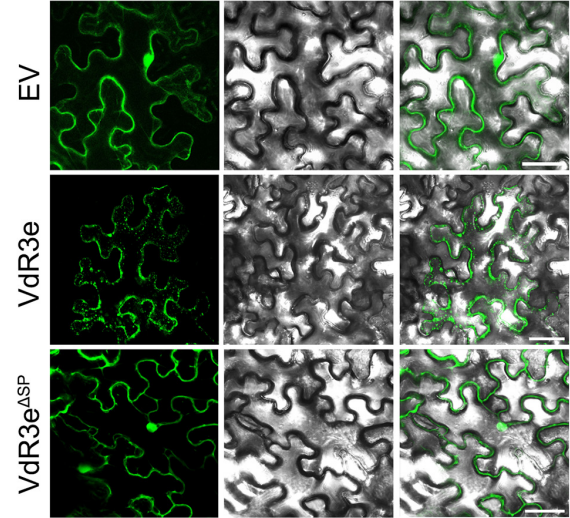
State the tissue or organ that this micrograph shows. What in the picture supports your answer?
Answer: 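Cells with wavy, interlocking, jigsaw-like outlines form a flat sheet. The cells are tightly packed with no spaces between them. On this evidence: leaves.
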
